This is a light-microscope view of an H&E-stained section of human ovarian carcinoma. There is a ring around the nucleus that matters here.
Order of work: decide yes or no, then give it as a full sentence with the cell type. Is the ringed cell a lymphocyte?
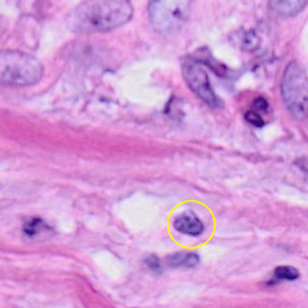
Yes, it is a lymphocyte that the ringed cell represents in this section.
